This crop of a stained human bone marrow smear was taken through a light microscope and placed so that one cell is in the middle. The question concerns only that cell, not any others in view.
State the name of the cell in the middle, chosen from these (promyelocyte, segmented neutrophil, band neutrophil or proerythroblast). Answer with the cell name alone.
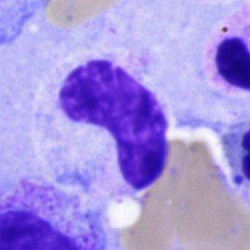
band neutrophil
